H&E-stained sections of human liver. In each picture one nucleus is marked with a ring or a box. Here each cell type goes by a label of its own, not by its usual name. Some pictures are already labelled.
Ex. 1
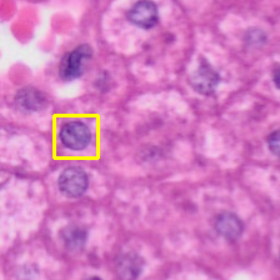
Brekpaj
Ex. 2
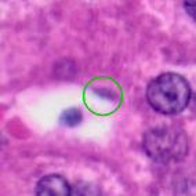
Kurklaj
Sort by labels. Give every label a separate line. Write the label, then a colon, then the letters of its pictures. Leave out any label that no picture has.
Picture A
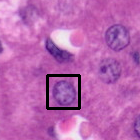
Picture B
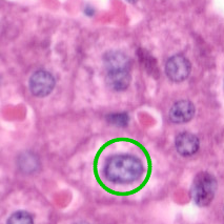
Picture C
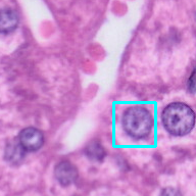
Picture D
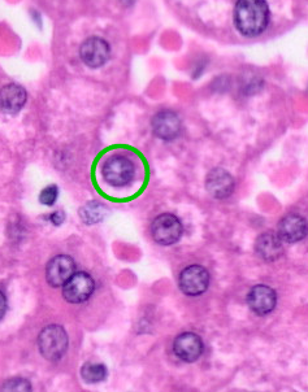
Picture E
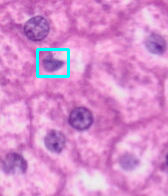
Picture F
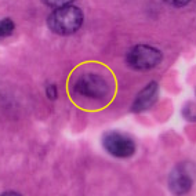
Brekpaj: A, B, C, D, F
Kurklaj: E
